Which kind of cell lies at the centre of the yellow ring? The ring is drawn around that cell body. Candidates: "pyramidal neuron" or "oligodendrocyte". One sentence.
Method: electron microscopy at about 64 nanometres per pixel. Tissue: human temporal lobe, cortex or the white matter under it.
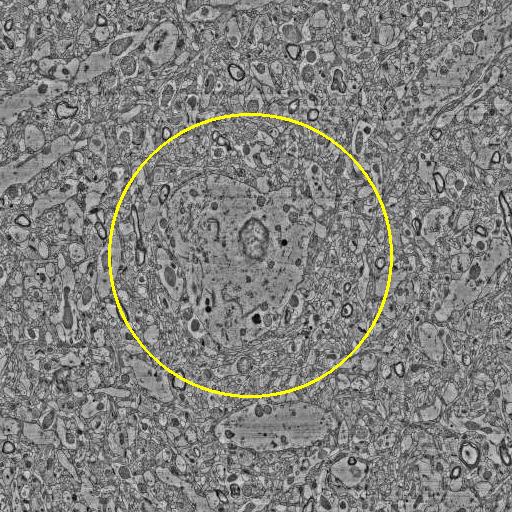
Lying at the centre of the ring is a pyramidal neuron.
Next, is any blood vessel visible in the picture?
No, the picture includes no blood vessel.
